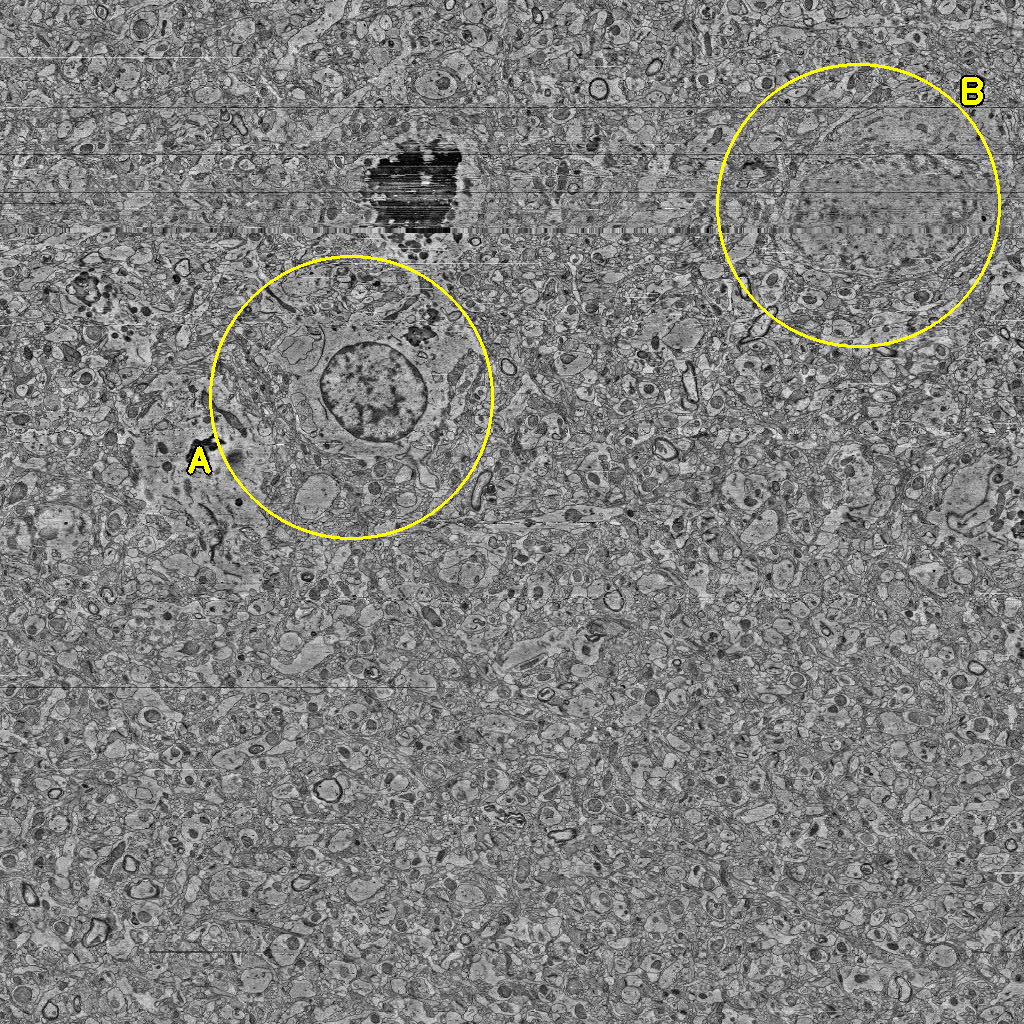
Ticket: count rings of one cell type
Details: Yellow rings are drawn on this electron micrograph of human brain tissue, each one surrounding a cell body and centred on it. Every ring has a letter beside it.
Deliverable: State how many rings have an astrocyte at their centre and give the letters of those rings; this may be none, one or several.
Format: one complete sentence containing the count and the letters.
Just one of the yellow rings, the one with A, is centred on an astrocyte.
